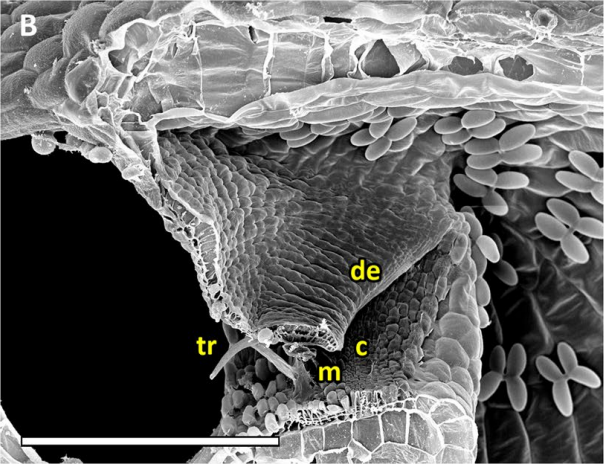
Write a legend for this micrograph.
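Close view of the entrance of a bladder trap cut lengthwise. A door made of a sheet of small, regularly arranged, somewhat elongated cells hangs down and ends in a free edge that rests near a lower ledge, the threshold. The threshold is covered with many small rounded gland heads. To the right, on the inner wall of the chamber, numerous paired oval gland heads are scattered. A long trigger hair projects from the outer side of the door, and the upper wall shows larger flattened cells.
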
